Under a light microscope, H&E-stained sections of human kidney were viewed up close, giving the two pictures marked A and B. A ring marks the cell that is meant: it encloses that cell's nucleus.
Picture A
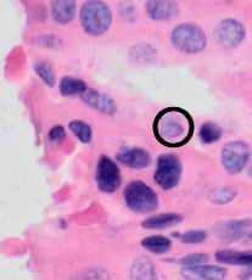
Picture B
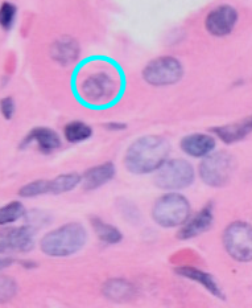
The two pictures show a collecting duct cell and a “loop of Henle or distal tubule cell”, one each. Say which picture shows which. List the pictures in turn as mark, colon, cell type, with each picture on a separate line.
A: collecting duct cell
B: loop of Henle or distal tubule cell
